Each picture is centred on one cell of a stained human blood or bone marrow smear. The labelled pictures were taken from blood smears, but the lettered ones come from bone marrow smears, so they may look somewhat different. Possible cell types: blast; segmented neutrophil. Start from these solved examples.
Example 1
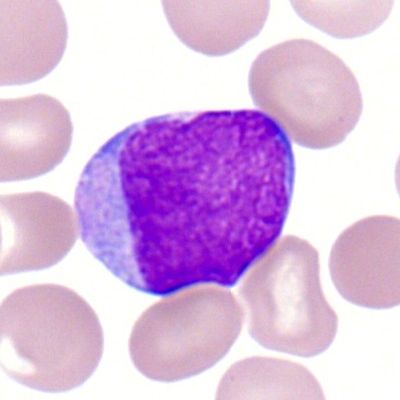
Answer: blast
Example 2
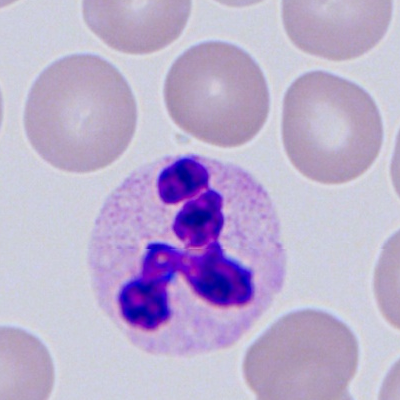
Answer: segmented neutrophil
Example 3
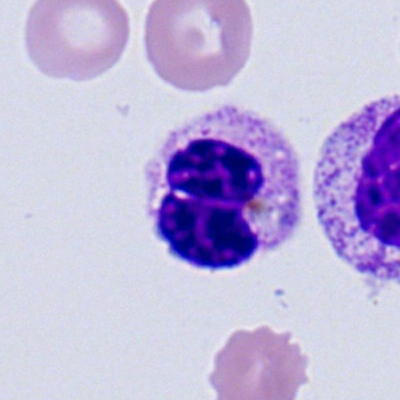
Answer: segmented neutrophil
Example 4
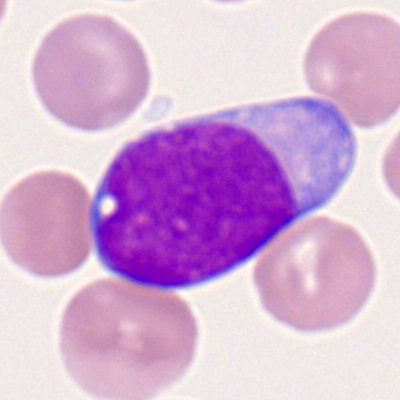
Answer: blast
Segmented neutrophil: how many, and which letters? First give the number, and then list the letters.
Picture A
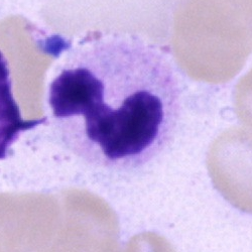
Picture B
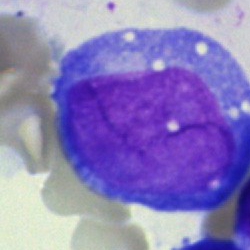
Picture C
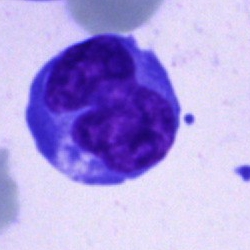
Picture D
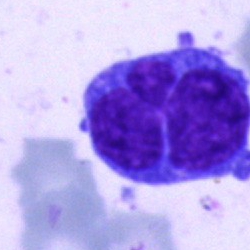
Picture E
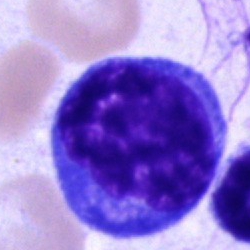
Count: 1 (A)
